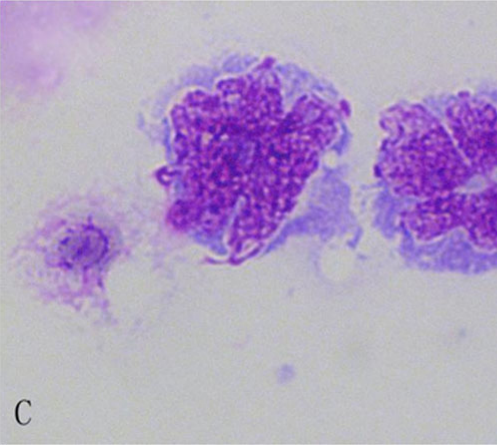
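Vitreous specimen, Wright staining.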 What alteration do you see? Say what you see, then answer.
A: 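The two large cells have nuclei cut by deep clefts into several lobes. The nuclei fill most of each cell, with a thin rim of pale blue cytoplasm. That points to this answer: highly segmented nuclei.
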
